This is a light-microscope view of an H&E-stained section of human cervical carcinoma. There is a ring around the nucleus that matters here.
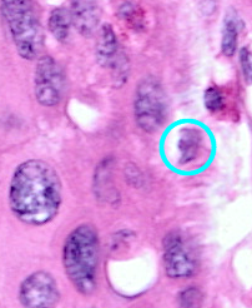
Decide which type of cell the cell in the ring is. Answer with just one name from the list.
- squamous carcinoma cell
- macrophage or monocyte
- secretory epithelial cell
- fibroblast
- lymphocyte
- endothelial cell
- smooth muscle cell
macrophage or monocyte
